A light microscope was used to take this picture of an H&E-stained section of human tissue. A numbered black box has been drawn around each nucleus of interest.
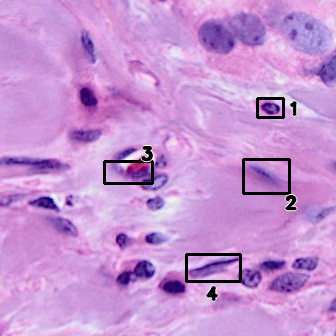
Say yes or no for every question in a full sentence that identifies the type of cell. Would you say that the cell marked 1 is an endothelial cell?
No, in terms of cell type, cell 1 is a mast cell, not an endothelial cell.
